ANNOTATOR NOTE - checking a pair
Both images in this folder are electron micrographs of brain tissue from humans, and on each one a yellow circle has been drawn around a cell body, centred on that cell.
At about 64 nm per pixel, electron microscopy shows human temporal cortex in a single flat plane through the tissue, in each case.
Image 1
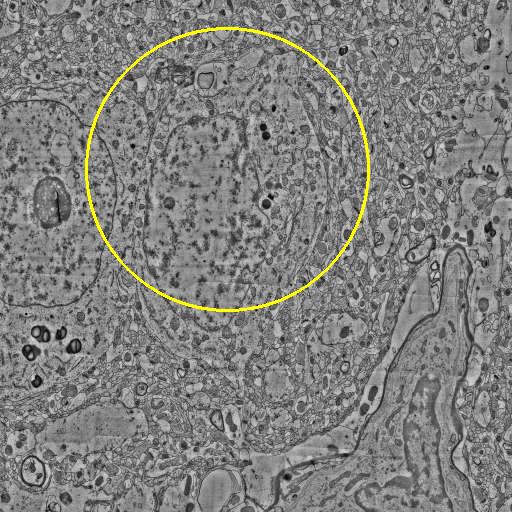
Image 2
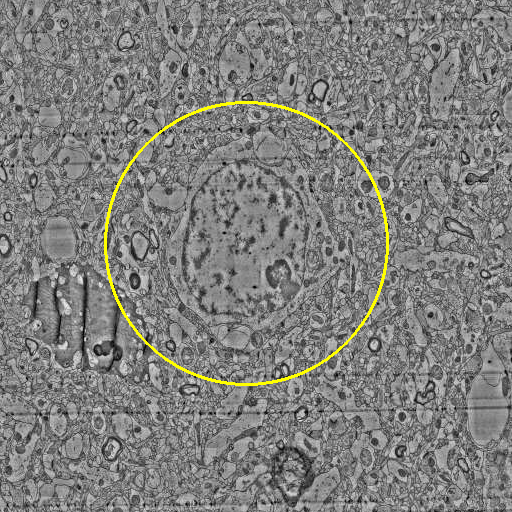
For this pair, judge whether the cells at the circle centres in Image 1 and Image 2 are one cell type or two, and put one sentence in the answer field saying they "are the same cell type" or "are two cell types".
For this pair, the cells at the circle centres in Images 1 and 2 are the same cell type.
